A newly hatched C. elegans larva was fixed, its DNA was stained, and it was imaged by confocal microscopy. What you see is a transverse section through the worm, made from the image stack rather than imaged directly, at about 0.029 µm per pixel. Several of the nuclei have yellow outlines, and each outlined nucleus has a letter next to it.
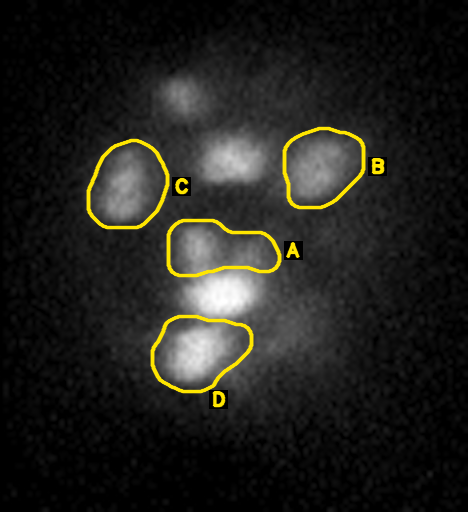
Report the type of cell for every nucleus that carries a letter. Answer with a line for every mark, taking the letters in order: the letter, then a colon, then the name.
A: valve cell of the gut
B: hypodermal cell (hyp)
C: hypodermal cell (hyp)
D: body wall muscle cell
